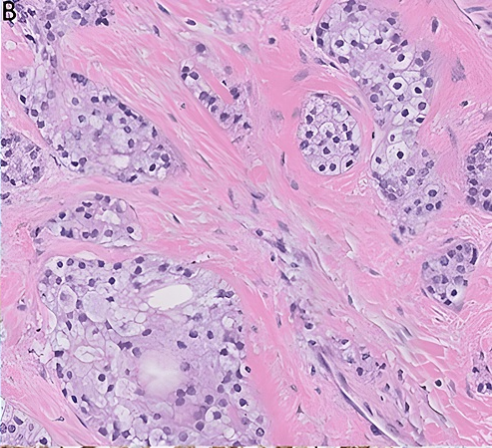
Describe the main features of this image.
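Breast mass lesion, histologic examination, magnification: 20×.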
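Nests of tumor cells with sebaceous differentiation lie in a dense pink fibrous stroma. The nests are rounded to irregular and made of cells with abundant pale, finely vacuolated, bubbly cytoplasm. Their nuclei are round, purple and often placed off-centre, some scalloped against the vacuoles. Thin spindle-shaped stromal cells run between the nests in the collagen bands.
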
